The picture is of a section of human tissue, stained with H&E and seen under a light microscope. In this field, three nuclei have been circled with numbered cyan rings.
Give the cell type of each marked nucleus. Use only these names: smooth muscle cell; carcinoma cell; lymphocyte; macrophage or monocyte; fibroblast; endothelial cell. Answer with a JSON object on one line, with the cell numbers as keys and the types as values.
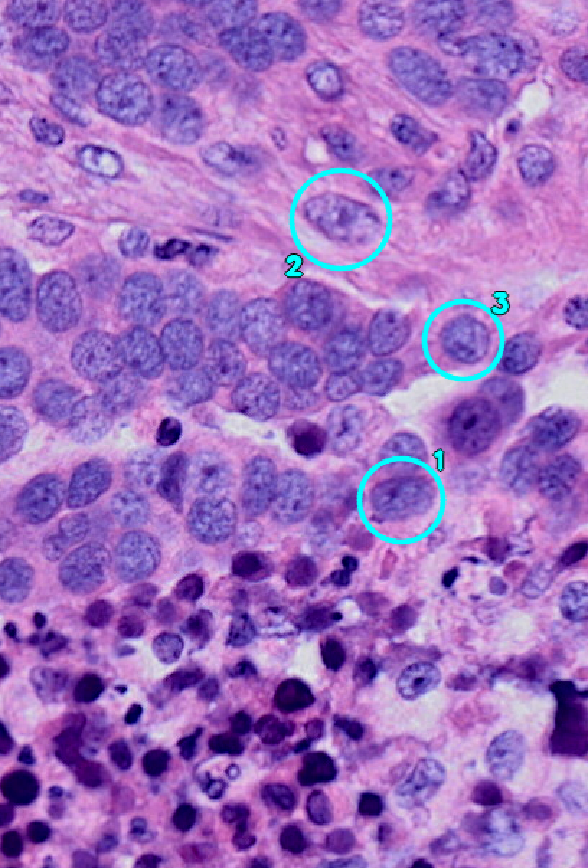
{"1": "carcinoma cell", "2": "fibroblast", "3": "carcinoma cell"}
